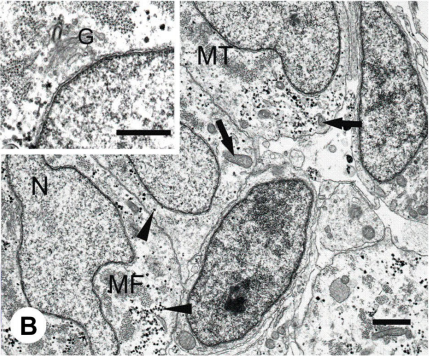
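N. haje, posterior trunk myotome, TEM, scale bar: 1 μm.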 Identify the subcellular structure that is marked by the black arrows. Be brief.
Mitochondria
